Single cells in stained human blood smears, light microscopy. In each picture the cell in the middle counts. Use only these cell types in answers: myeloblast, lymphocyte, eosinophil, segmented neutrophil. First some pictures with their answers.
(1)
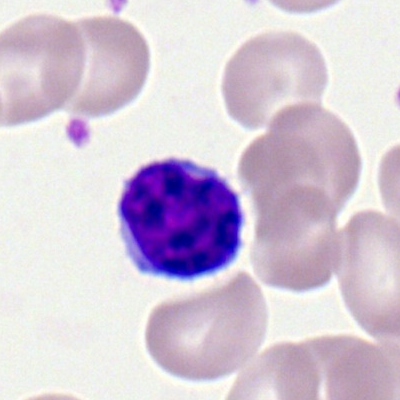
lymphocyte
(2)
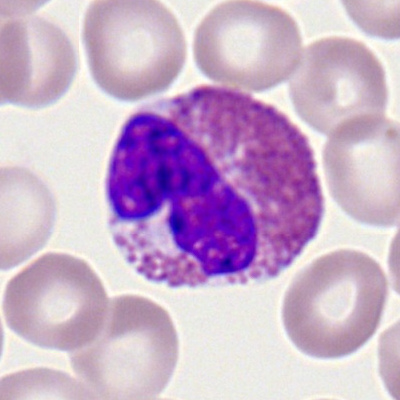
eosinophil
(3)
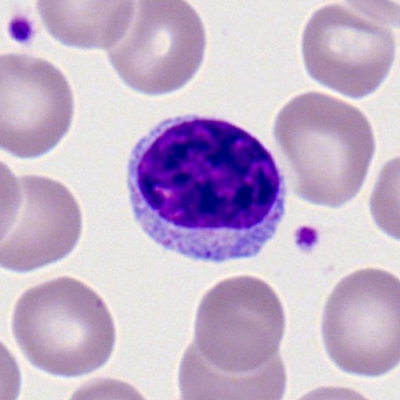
lymphocyte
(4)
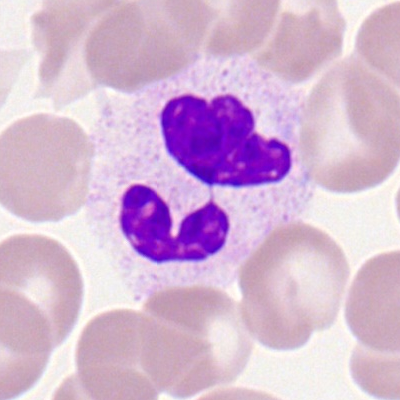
segmented neutrophil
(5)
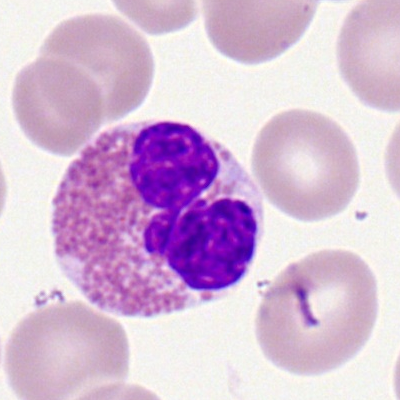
eosinophil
